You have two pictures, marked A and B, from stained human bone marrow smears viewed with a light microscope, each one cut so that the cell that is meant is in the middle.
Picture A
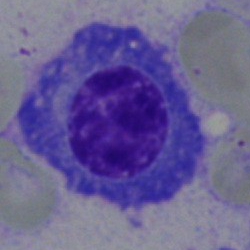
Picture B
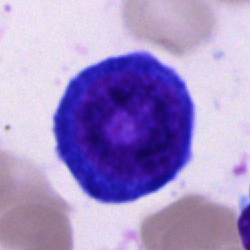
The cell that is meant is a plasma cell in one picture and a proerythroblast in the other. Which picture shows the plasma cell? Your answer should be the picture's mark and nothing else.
A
